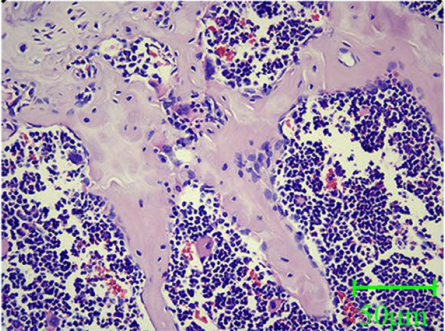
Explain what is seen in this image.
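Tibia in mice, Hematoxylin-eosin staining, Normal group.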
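Pale pink bony trabeculae branch through the field, with flattened osteocytes in lacunae. The spaces between them form the bone marrow cavity, filled with densely packed small round cells with dark purple nuclei, mixed with red blood cells. The bone and marrow appear intact without any infiltrating mass.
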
